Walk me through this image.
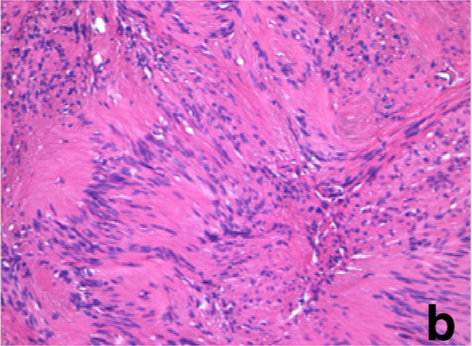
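This is a spindle-cell tumour made of elongated cells arranged in interlacing bundles that sweep across one another in different directions. The nuclei are slender, dark purple and spindle-shaped, set in pink fibrillar cytoplasm and stroma, with some areas more crowded with nuclei than others.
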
